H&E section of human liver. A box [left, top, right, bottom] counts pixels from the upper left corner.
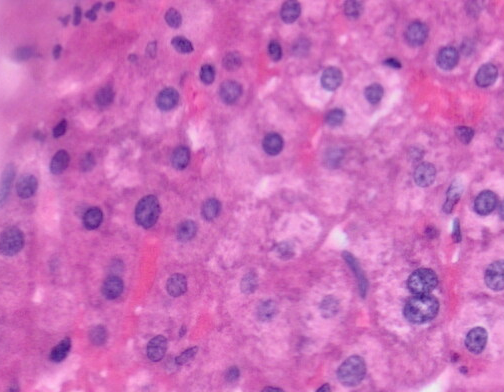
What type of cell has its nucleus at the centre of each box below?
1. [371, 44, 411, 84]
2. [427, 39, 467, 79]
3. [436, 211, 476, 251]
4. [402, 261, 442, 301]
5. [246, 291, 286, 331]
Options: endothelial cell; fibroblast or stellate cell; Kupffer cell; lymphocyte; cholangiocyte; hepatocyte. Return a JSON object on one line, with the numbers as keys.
{"1": "fibroblast or stellate cell", "2": "hepatocyte", "3": "endothelial cell", "4": "hepatocyte", "5": "hepatocyte"}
